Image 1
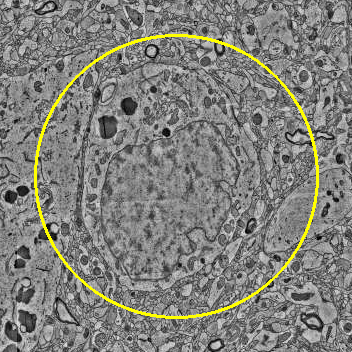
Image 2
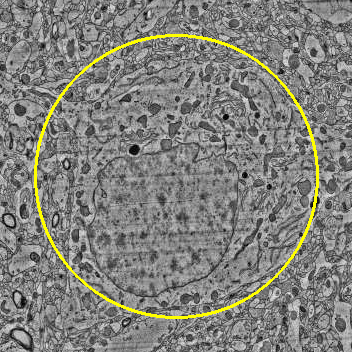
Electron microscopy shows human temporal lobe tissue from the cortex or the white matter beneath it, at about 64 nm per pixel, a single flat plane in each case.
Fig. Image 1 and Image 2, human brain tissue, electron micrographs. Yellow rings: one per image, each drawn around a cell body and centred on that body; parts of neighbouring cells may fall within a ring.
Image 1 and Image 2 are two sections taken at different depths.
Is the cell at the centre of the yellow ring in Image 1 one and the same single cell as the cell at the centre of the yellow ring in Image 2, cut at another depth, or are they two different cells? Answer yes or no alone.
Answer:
no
